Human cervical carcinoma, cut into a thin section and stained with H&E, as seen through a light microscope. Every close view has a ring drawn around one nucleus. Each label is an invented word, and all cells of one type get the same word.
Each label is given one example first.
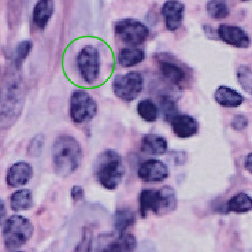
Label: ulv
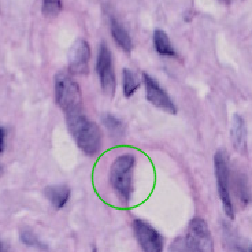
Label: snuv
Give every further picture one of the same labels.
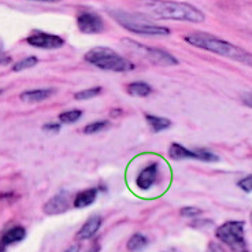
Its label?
ulv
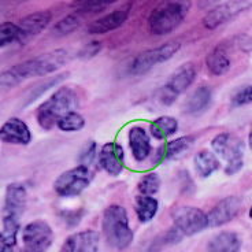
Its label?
ulv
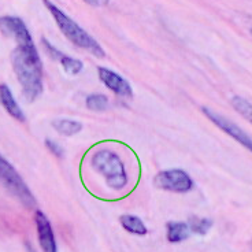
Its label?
snuv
